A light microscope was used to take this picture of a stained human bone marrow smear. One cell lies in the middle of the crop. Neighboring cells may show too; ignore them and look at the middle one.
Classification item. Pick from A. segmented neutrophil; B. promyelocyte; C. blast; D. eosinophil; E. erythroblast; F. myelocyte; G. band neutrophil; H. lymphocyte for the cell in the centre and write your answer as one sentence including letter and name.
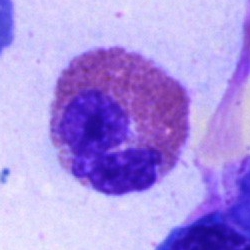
Option D is the keyed answer: the cell in the middle is an eosinophil.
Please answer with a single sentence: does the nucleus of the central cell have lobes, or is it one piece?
It is worth mentioning that the nucleus carries two or more lobes.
